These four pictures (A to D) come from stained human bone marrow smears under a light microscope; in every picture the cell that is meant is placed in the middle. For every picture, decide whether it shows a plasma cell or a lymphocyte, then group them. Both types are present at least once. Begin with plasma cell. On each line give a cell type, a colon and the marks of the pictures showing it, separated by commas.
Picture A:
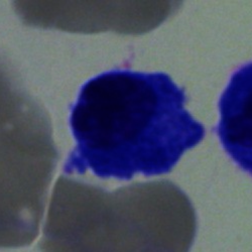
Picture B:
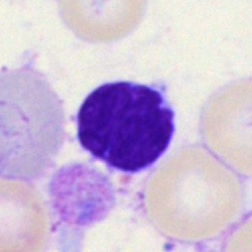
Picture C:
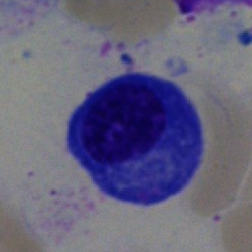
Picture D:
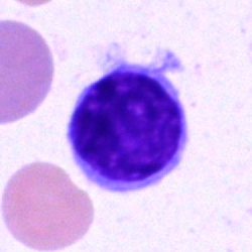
plasma cell: A, C
lymphocyte: B, D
